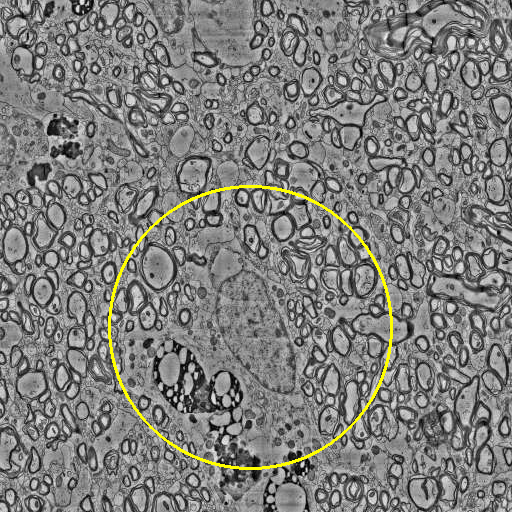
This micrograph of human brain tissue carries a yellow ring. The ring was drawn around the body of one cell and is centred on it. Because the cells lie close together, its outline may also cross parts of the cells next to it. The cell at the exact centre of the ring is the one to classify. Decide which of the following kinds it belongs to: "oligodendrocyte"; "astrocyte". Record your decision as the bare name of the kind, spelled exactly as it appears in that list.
astrocyte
